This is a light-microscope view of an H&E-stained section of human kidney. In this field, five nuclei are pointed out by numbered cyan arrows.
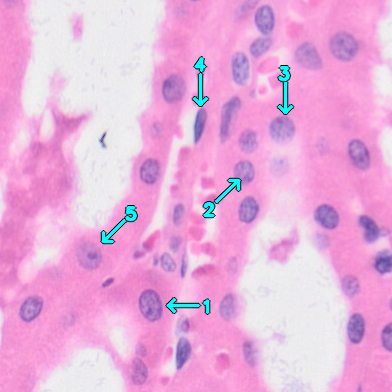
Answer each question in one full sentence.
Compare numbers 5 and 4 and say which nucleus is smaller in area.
It is nucleus 4; nucleus 5 has about 1.5 times its area.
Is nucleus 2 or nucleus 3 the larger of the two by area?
The larger nucleus is 3, at roughly 1.5 times the area of 2.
